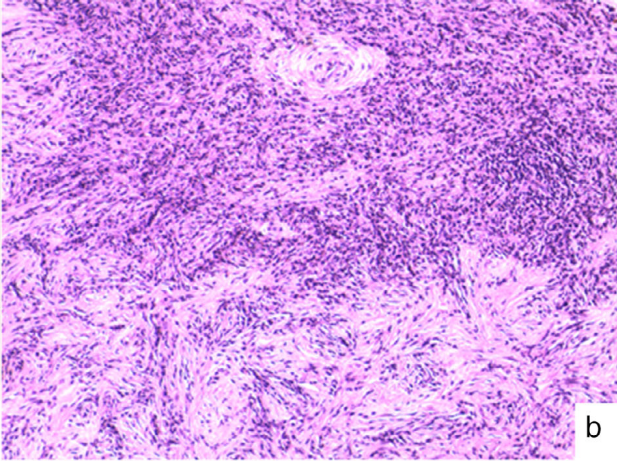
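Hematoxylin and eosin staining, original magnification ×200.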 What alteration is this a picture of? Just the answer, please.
Storiform fibrosis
